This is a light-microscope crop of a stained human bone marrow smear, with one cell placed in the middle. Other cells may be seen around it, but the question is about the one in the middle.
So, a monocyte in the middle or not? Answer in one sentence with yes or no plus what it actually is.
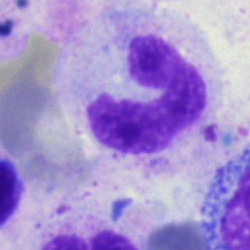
No, the cell in the middle is recognised as a band neutrophil rather than a monocyte.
